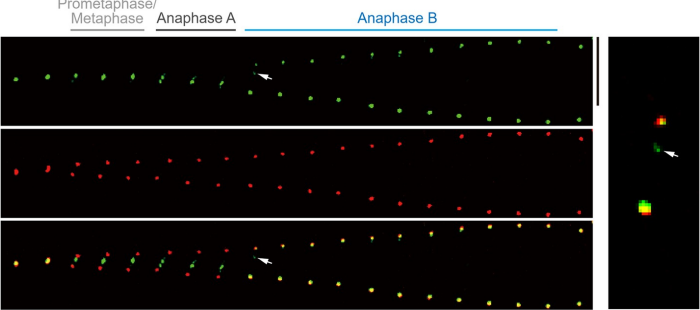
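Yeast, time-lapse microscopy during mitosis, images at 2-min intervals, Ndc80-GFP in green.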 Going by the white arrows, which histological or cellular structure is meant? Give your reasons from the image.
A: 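A lagging chromosome. The arrowed green dot lies away from both red pole dots. The enlarged inset shows the green dot isolated between two yellow pole spots.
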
